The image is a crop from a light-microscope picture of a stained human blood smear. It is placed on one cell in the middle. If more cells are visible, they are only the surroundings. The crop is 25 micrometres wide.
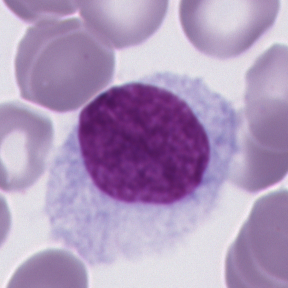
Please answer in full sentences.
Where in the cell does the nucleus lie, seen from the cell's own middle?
Seen from the middle of the cell, the nucleus lies toward the top.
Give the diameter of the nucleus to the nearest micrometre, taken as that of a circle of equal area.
The diameter of the nucleus comes to about 11 micrometres.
